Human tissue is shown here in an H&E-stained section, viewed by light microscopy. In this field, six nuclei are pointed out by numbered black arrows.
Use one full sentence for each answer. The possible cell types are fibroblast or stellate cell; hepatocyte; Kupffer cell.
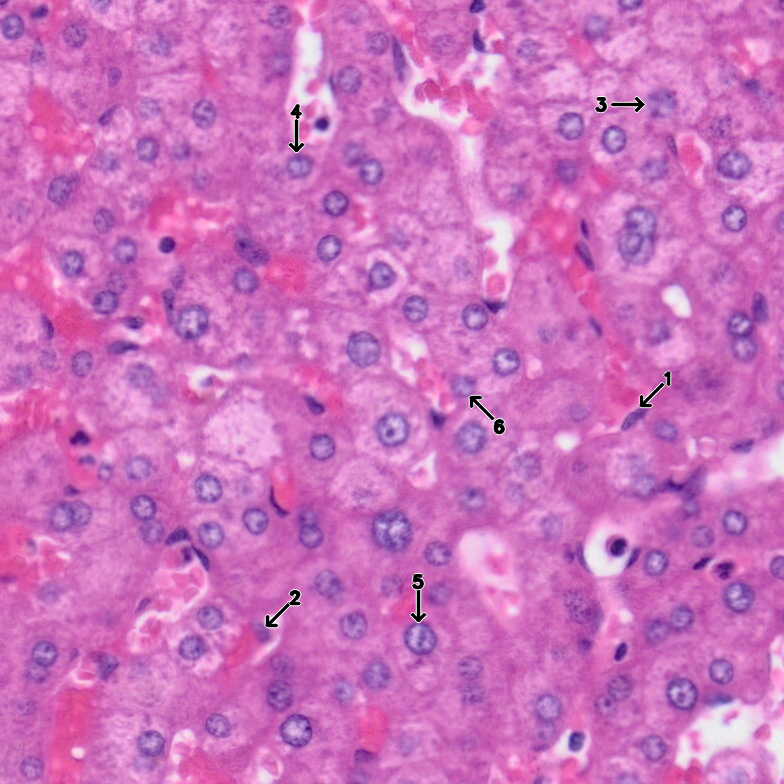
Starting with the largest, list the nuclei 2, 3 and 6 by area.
By area, largest first, they run 3, 6, 2.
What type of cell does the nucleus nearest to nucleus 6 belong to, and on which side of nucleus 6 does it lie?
The nearest one is a fibroblast or stellate cell, found below and to the left of nucleus 6.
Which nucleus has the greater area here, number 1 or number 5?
Number 5 is larger; its area is about 2 times that of number 1.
